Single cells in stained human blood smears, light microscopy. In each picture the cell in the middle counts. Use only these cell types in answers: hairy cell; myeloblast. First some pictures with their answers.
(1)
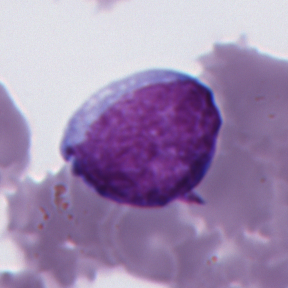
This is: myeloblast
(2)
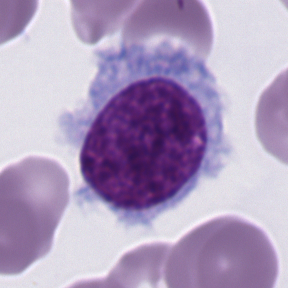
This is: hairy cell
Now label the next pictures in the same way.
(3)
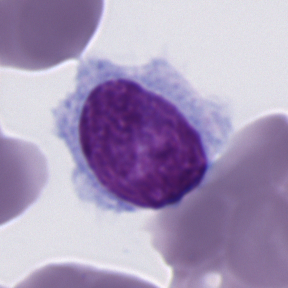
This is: hairy cell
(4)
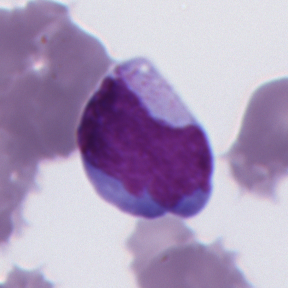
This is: myeloblast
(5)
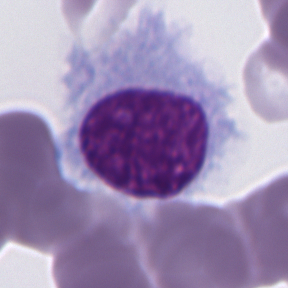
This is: hairy cell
